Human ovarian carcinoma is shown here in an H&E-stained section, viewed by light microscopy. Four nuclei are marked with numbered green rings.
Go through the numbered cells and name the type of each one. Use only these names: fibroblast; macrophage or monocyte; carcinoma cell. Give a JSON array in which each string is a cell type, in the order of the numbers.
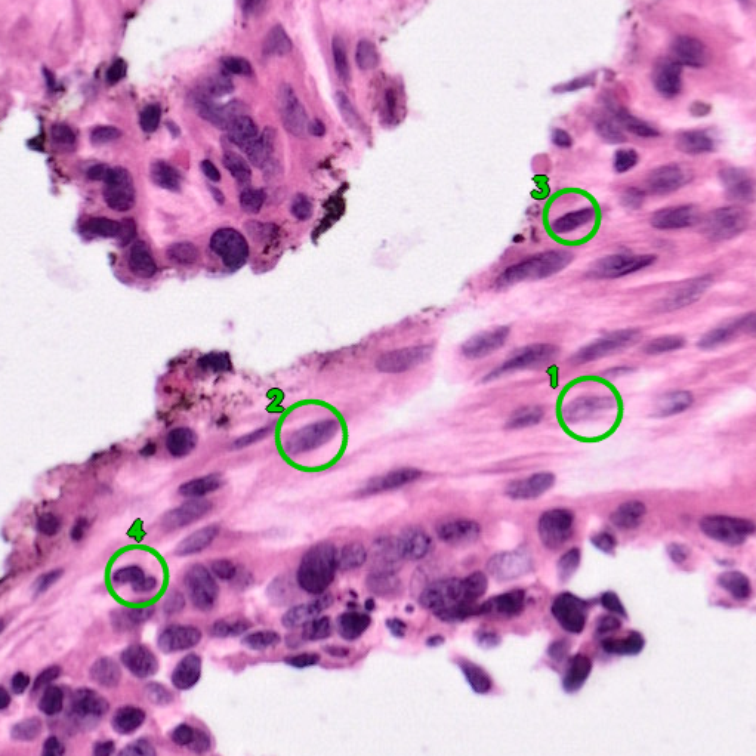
["fibroblast", "fibroblast", "fibroblast", "macrophage or monocyte"]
